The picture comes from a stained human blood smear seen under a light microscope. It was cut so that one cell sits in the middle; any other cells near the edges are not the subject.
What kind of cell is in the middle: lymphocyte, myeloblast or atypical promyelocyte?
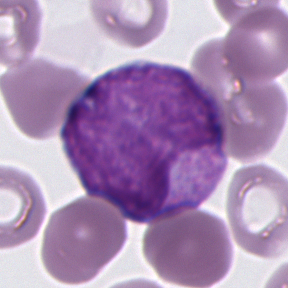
atypical promyelocyte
